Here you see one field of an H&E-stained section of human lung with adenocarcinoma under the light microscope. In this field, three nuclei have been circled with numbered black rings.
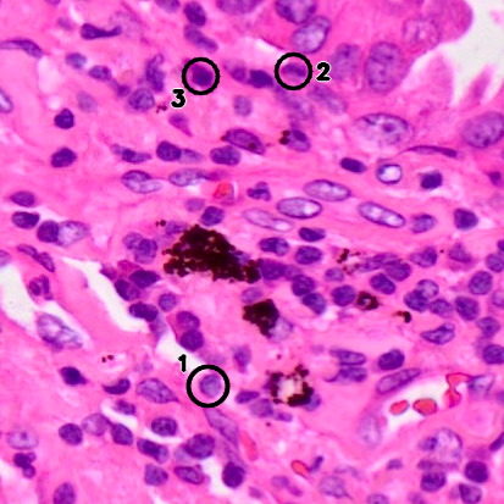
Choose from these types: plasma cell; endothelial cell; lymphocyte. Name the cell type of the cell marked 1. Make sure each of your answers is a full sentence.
The cell marked with the number 1 is a lymphocyte.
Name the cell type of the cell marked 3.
The marked cell bearing number 3 is a plasma cell.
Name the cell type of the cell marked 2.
The expected answer is that cell 2 is a lymphocyte.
